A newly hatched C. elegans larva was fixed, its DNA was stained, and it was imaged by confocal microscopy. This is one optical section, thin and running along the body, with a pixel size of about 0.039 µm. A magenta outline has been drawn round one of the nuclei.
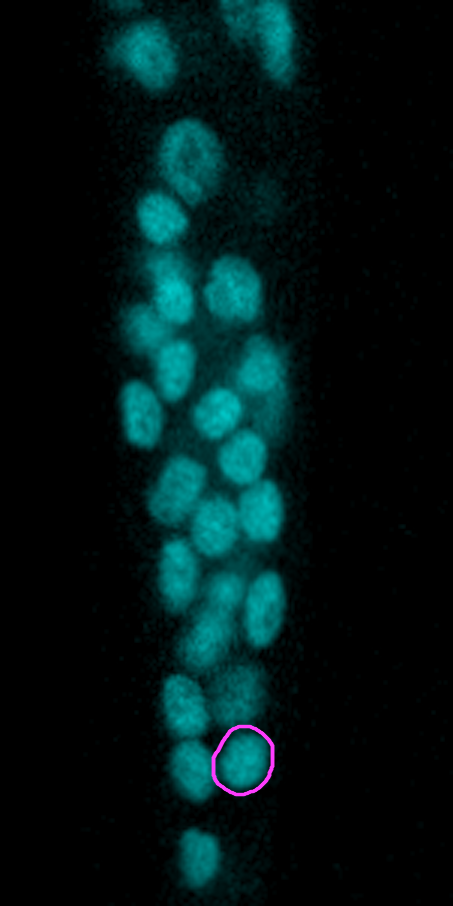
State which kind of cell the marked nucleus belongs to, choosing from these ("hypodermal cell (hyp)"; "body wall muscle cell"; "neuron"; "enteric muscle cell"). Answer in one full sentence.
The marked nucleus is that of a neuron.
